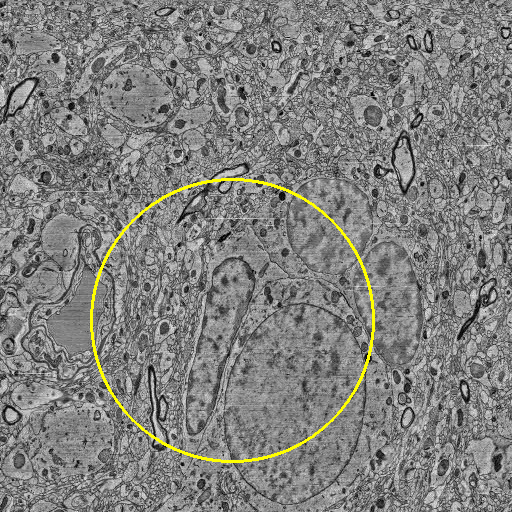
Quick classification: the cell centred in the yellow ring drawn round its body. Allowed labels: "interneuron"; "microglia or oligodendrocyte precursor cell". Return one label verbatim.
microglia or oligodendrocyte precursor cell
